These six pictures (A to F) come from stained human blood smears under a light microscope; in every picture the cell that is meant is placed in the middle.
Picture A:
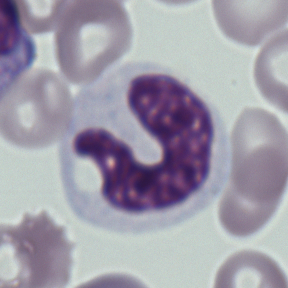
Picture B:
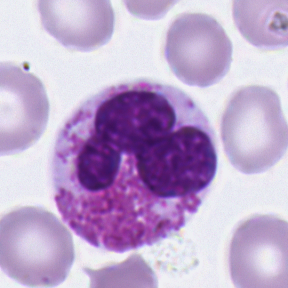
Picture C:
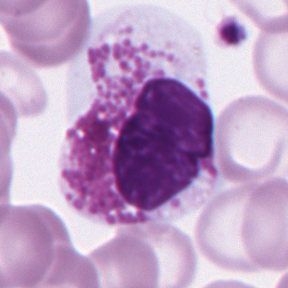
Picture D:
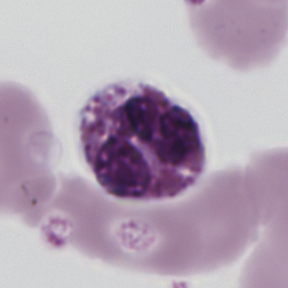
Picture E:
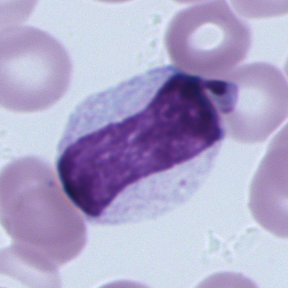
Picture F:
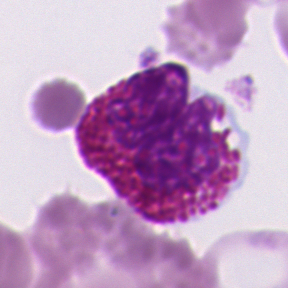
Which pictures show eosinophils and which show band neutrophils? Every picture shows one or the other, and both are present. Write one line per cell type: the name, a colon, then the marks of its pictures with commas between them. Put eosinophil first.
eosinophil: B, C, D, F
band neutrophil: A, E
